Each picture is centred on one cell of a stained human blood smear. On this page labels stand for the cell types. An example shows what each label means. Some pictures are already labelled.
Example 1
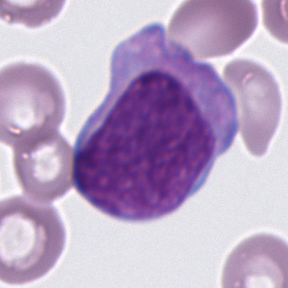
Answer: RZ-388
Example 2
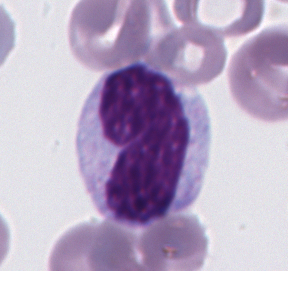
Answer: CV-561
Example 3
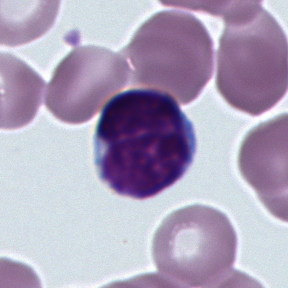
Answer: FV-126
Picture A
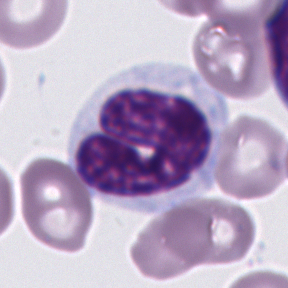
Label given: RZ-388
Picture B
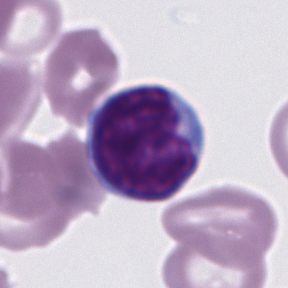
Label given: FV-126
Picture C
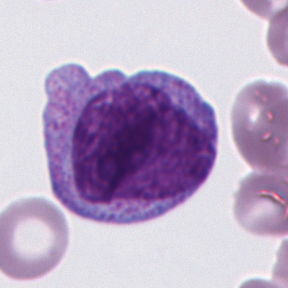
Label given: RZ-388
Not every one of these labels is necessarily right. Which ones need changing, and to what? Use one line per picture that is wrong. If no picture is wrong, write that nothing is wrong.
A: CV-561, not RZ-388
